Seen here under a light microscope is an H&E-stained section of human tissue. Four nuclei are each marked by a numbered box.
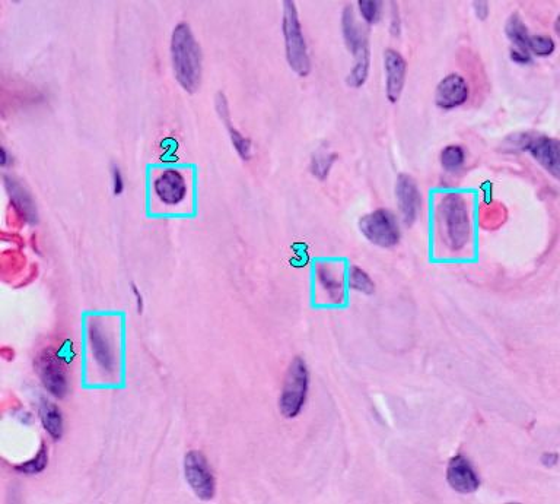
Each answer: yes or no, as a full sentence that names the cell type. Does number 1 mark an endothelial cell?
Yes, the numbered cell 1 is identified as an endothelial cell.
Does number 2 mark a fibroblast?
No, cell 2 is not to be taken for a fibroblast; it is a lymphocyte.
